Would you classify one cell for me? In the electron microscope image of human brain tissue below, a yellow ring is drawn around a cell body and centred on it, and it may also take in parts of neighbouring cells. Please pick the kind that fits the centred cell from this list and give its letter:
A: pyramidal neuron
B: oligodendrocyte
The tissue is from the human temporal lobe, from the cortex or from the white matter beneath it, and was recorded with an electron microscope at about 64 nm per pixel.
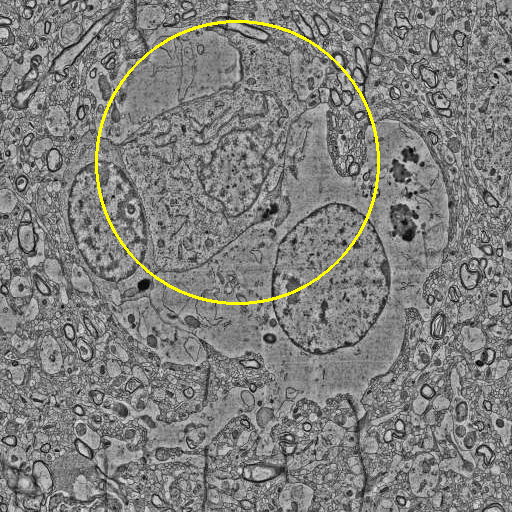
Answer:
A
